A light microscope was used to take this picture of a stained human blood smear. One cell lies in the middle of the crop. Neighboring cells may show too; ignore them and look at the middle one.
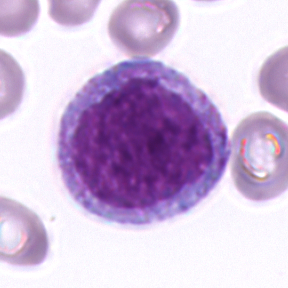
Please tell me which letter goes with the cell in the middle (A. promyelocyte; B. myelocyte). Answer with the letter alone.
A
